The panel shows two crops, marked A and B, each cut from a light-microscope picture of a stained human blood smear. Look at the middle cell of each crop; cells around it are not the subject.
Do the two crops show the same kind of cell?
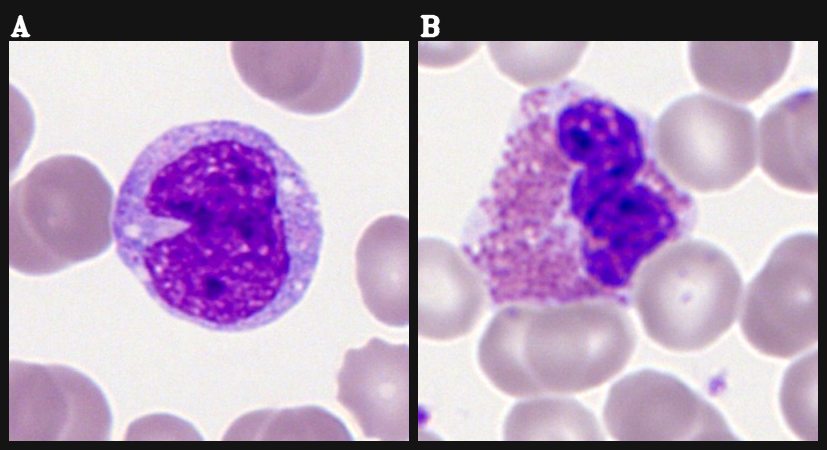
no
